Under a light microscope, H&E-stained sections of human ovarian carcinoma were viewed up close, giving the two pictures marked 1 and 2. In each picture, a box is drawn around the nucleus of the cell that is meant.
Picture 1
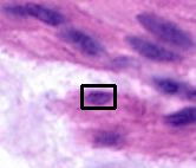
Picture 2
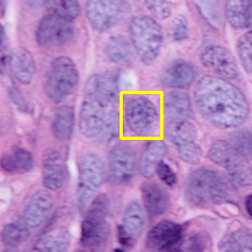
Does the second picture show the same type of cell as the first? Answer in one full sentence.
No. Picture 1 shows a smooth muscle cell, but picture 2 shows a carcinoma cell.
